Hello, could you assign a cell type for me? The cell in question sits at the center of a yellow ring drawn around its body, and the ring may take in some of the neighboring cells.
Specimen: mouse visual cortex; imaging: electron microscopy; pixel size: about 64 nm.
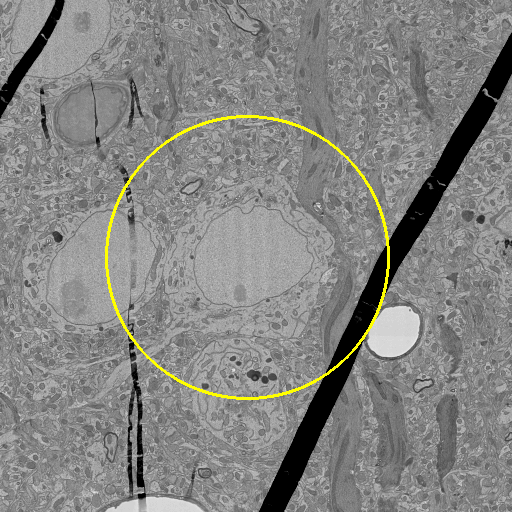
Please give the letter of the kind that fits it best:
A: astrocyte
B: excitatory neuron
B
